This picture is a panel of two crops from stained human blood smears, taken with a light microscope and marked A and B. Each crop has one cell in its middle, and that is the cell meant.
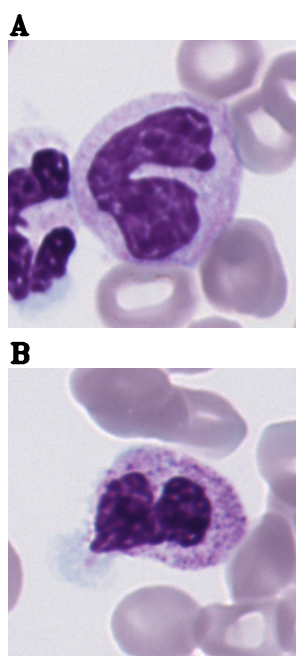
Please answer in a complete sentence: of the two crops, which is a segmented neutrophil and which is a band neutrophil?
Crop A holds a band neutrophil; a segmented neutrophil occupies crop B.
